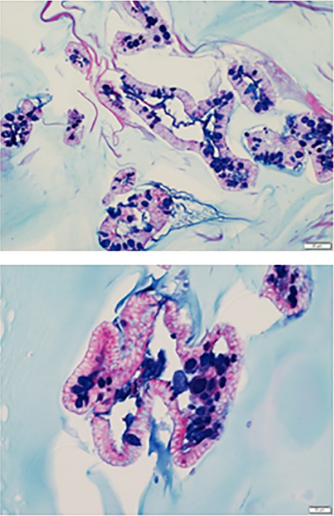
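The epithelium forms folded, budding structures around narrow lumens and lies in a pale blue, fibrous background matrix. The ordinary epithelial cells have pink-stained cytoplasm, brightest toward one surface. Interspersed among them, goblet cells are crowded with rounded, dark blue-purple mucin granules, often clustered so that several lie side by side and bulge from the epithelial layer. Some strands of pink material lie free in the surrounding matrix.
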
